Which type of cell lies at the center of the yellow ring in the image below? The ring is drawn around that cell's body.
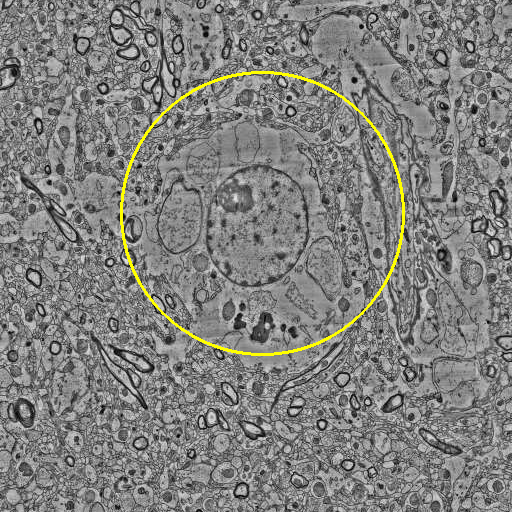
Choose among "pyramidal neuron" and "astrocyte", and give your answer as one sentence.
The cell body at the center belongs to an astrocyte.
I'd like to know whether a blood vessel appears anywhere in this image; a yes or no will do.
Yes, the picture includes a blood vessel.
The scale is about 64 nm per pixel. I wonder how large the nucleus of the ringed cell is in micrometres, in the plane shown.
The ringed cell's nucleus measures approximately 8 by 7 micrometres in this plane.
